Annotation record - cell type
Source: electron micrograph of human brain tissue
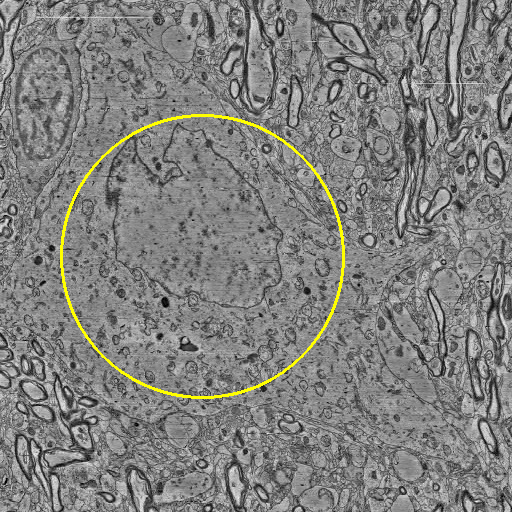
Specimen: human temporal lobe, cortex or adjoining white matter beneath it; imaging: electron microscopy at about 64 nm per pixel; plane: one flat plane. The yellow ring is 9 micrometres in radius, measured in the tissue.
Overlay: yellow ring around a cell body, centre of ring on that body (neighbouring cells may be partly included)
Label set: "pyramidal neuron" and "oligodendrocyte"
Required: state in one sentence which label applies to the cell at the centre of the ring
This cell should be labelled as a pyramidal neuron.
